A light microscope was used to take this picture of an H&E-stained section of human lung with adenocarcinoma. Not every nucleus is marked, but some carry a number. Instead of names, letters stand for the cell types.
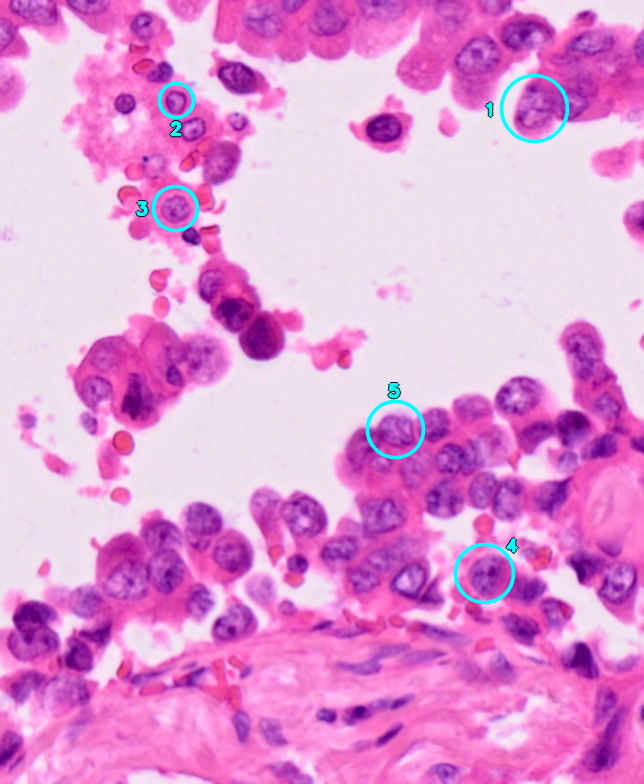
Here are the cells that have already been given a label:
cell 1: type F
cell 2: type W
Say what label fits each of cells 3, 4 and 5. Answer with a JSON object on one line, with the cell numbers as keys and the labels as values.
{"3": "type W", "4": "type F", "5": "type F"}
